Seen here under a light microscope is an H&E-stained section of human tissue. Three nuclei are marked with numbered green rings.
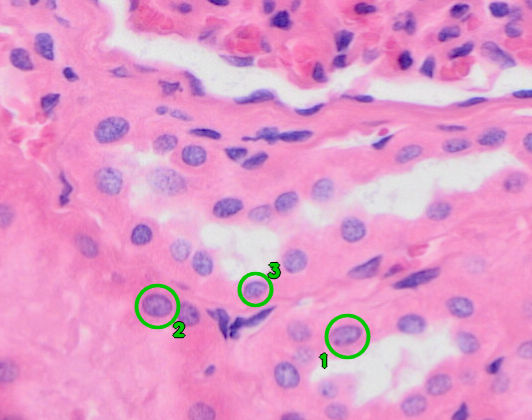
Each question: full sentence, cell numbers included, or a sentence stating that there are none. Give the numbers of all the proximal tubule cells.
Cell 2 is the one numbered cell that is a proximal tubule cell.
